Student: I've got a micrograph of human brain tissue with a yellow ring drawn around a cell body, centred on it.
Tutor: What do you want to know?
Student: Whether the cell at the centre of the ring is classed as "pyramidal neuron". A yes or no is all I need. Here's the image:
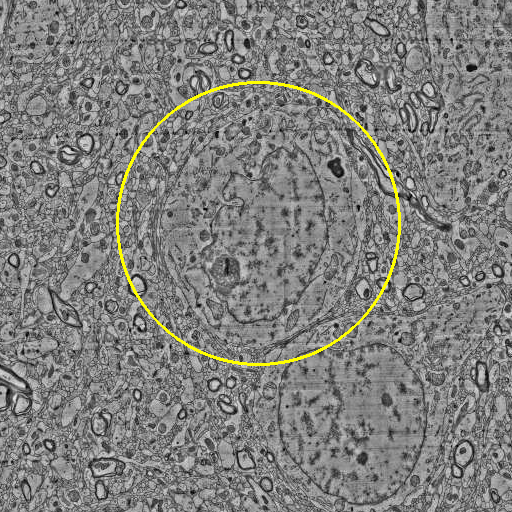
yes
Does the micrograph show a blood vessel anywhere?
No, there is no blood vessel in the image.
